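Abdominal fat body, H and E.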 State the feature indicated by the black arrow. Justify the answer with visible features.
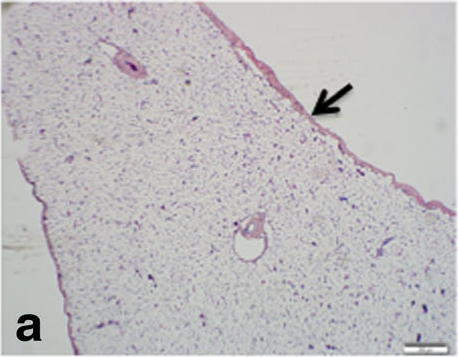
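Fibrous connective tissue capsule. A thin continuous pink band runs along the outer edge of the tissue. The band separates the pale finely vacuolated tissue from the empty background.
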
